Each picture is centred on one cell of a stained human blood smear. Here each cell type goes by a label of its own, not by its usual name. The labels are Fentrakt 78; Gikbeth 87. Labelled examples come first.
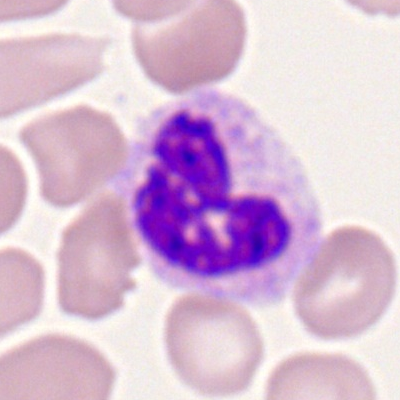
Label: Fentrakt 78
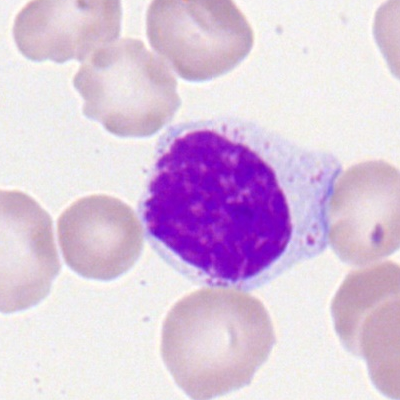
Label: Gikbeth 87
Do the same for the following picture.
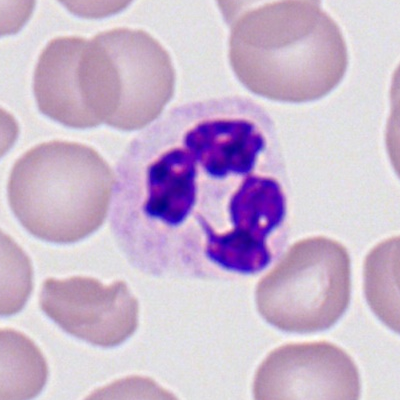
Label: Fentrakt 78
